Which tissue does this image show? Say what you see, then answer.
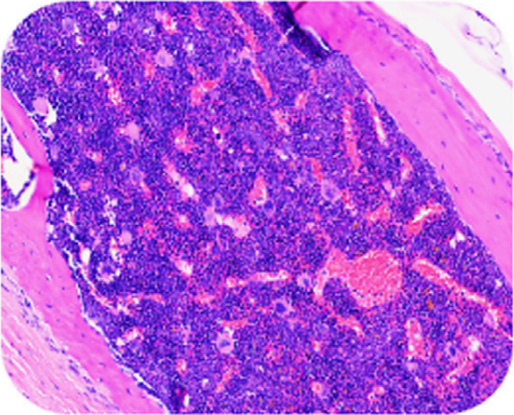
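Bone marrow. A cavity enclosed by pink-stained bone at its edges. The cavity is packed with small, densely purple-staining cells. Red blood-filled vascular channels run through the cellular tissue.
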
